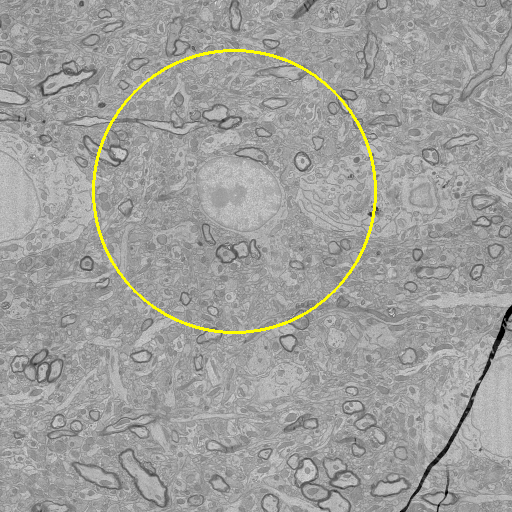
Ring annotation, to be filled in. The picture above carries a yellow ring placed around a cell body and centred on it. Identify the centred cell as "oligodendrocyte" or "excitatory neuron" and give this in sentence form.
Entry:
The cell in the middle of the ring is an oligodendrocyte.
